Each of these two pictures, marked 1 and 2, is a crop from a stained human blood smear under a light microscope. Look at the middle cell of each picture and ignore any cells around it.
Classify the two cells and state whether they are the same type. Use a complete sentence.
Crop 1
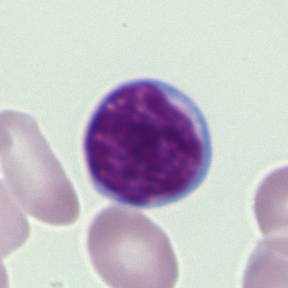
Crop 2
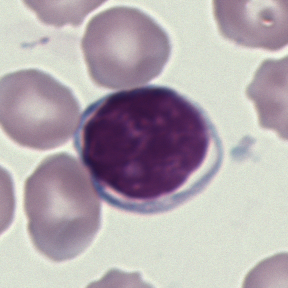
Yes, the cells under consideration in both crops are typical lymphocytes.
